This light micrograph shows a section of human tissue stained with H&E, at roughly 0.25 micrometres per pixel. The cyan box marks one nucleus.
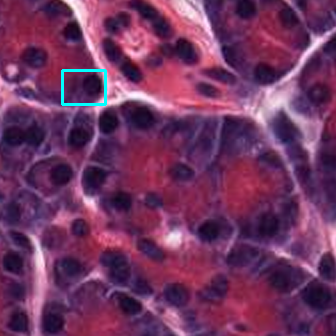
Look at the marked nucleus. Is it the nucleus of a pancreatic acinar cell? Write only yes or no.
yes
